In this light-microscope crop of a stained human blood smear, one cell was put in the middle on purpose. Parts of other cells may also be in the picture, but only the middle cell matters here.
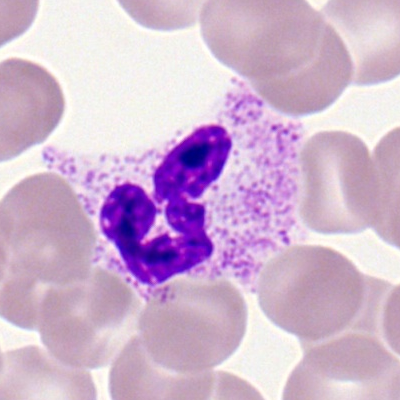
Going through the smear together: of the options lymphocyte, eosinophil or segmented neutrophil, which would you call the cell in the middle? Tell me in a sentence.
Answering briefly, the cell in the middle is a segmented neutrophil.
